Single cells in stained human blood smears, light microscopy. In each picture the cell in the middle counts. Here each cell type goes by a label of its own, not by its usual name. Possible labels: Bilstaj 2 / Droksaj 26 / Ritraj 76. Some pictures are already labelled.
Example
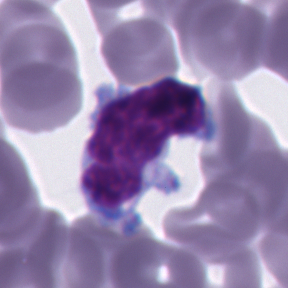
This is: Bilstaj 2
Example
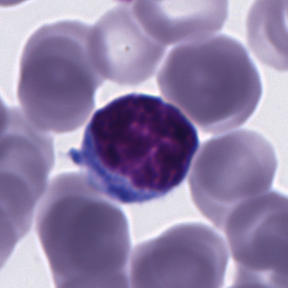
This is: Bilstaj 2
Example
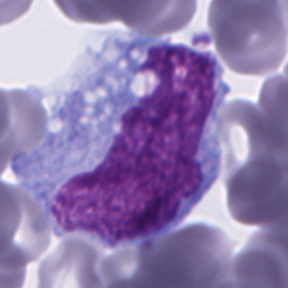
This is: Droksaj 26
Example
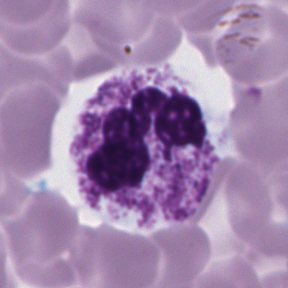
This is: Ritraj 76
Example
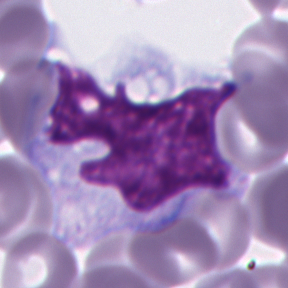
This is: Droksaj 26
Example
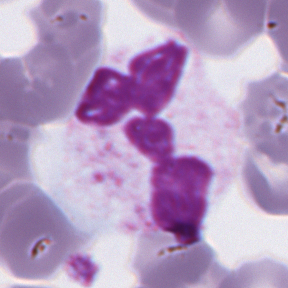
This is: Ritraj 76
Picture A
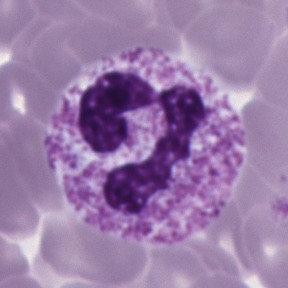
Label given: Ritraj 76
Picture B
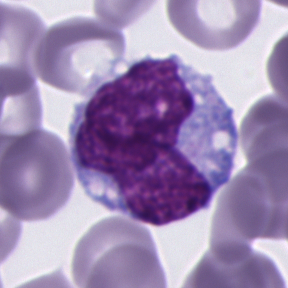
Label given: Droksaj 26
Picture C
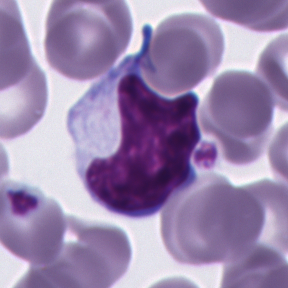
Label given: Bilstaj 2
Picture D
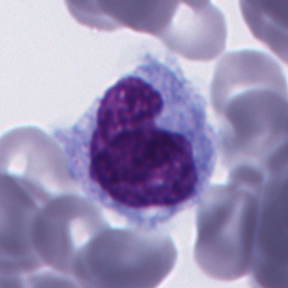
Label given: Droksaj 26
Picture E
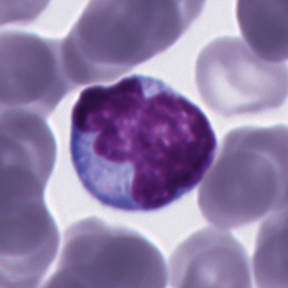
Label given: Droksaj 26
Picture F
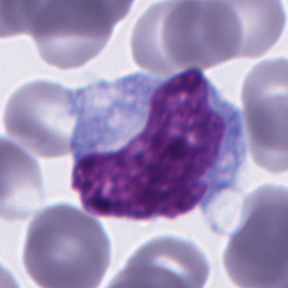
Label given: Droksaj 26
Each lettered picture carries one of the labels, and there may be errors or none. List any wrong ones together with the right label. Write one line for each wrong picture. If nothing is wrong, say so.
E is labelled Droksaj 26; correct label: Bilstaj 2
